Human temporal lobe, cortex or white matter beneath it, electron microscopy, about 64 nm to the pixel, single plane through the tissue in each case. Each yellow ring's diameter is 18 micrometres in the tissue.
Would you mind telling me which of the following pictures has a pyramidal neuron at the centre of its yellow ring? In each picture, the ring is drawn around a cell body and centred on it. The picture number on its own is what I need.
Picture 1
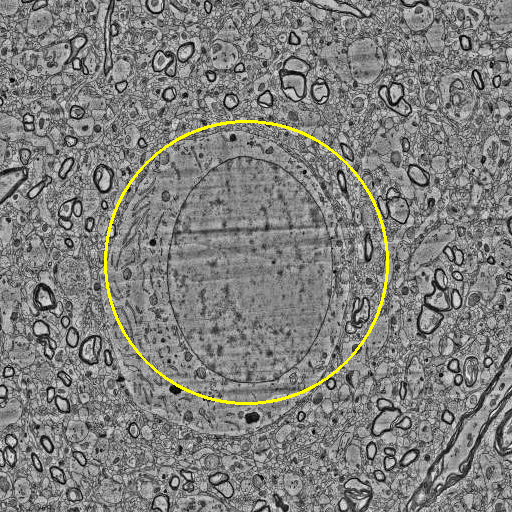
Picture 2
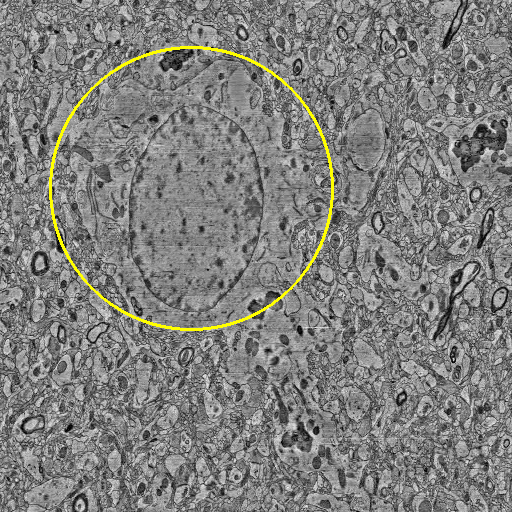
1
